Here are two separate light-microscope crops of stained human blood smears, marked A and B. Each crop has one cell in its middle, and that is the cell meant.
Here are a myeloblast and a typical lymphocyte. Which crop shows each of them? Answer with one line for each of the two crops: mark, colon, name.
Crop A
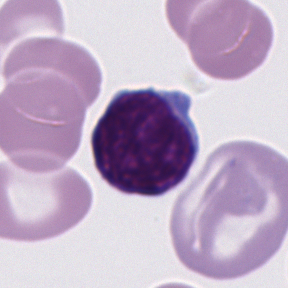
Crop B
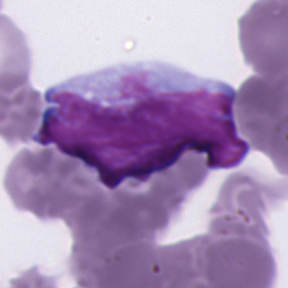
A: typical lymphocyte
B: myeloblast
